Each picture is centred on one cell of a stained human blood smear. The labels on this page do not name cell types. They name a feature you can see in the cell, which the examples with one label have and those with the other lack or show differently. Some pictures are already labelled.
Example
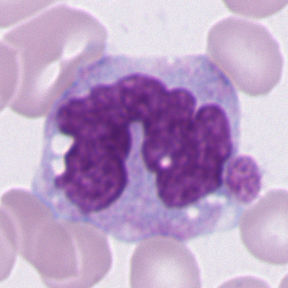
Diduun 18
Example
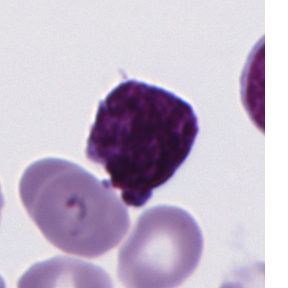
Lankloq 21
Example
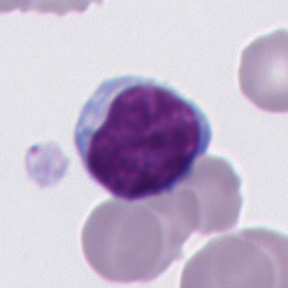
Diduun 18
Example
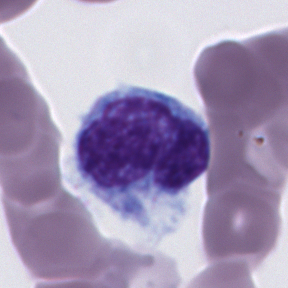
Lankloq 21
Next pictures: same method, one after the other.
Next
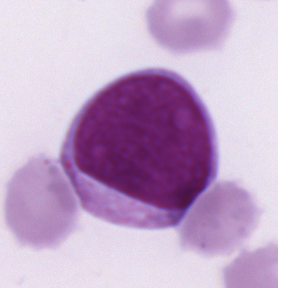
Diduun 18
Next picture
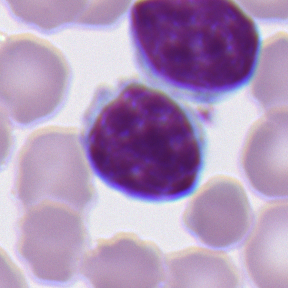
Lankloq 21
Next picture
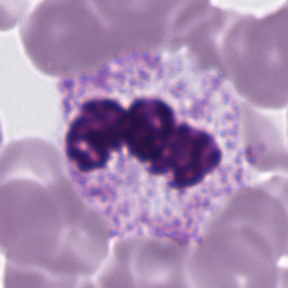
Lankloq 21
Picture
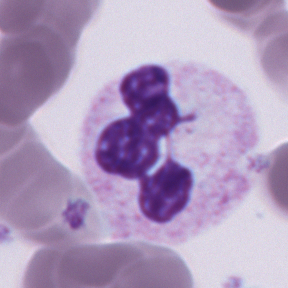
Diduun 18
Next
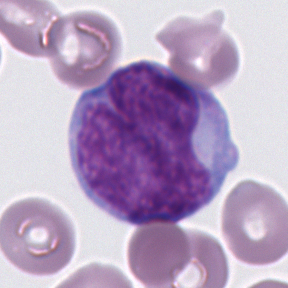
Lankloq 21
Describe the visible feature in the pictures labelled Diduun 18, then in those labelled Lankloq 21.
Diduun 18: smooth outline; Lankloq 21: ragged outline or projections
